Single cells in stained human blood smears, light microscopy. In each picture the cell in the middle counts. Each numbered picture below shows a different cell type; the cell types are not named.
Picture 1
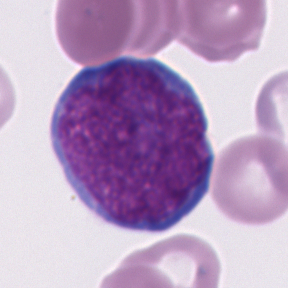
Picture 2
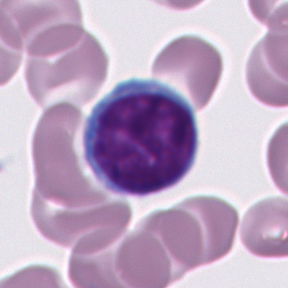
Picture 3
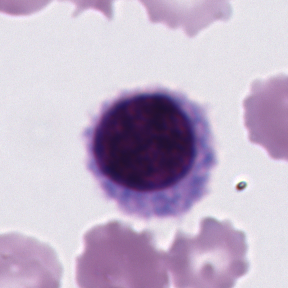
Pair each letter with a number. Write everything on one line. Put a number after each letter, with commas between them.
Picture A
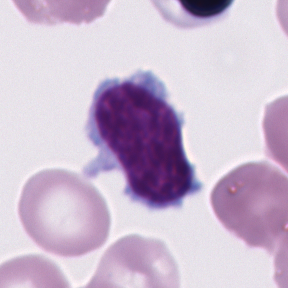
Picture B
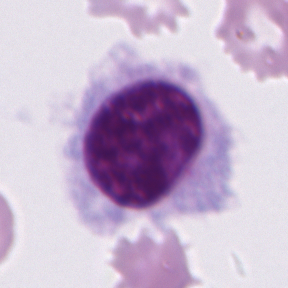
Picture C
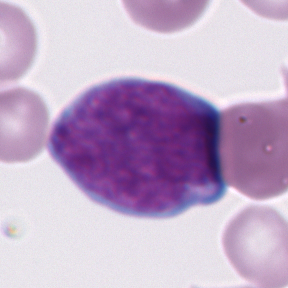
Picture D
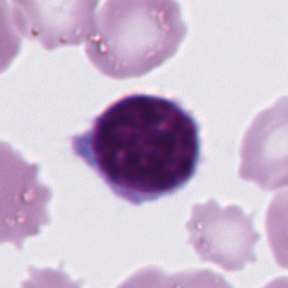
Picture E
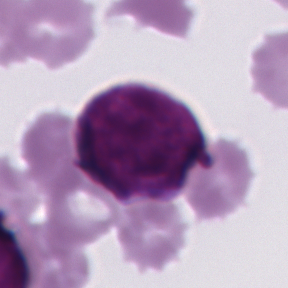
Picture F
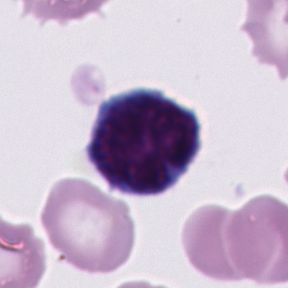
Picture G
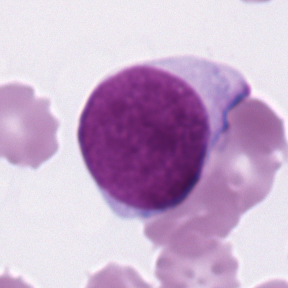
A 2, B 3, C 1, D 2, E 1, F 2, G 1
